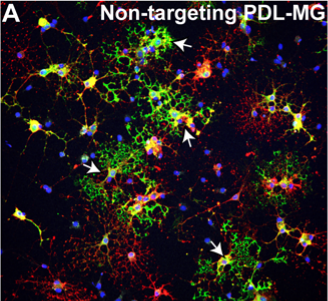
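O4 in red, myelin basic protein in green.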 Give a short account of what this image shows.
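Cultured oligodendrocytes are seen scattered across the field, each with a small round cell body and a dense spray of fine branching processes. Many cells are labelled both red and green, the overlap appearing yellow over the cell bodies and proximal processes. Small blue nuclei are distributed throughout, including nuclei of cells that carry no red or green label.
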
